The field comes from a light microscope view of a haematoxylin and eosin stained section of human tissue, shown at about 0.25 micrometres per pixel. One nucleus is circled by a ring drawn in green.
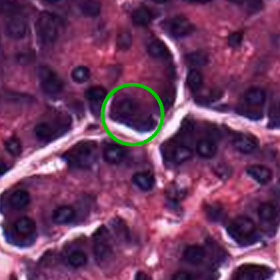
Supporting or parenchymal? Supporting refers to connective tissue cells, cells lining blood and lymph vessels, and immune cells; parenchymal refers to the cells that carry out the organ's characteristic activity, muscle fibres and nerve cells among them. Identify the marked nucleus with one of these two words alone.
parenchymal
